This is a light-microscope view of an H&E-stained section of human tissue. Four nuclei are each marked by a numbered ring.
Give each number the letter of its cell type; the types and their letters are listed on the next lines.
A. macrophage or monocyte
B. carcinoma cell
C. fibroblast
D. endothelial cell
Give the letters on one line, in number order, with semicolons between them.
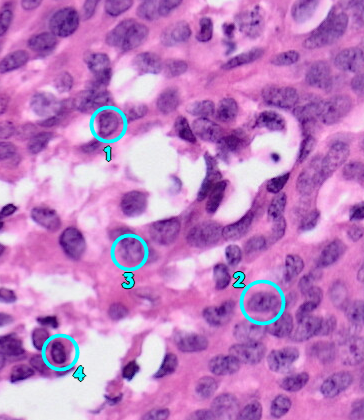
B; B; B; A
